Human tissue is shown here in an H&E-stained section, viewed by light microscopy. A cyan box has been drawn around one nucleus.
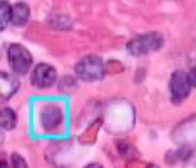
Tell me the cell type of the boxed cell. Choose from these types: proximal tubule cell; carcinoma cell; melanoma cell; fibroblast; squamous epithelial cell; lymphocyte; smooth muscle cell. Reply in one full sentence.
Within this tissue, the boxed cell is a lymphocyte.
